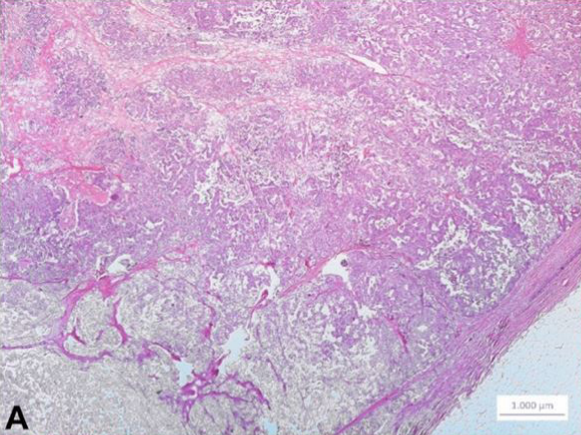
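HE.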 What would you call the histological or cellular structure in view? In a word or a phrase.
Lobules of tumor cells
